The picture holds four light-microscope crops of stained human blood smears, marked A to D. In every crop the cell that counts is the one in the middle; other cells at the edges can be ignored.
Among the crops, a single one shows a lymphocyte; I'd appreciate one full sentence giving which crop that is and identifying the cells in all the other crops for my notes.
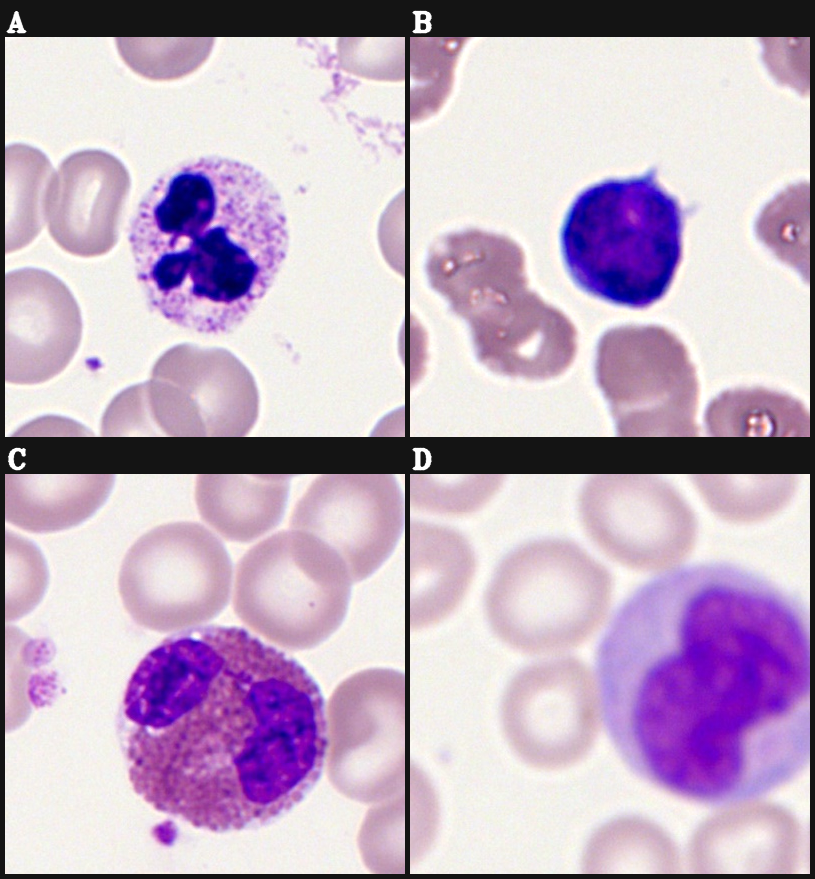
Here crop B shows a lymphocyte, while crop A is a segmented neutrophil, crop C is an eosinophil and crop D is a monocyte.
